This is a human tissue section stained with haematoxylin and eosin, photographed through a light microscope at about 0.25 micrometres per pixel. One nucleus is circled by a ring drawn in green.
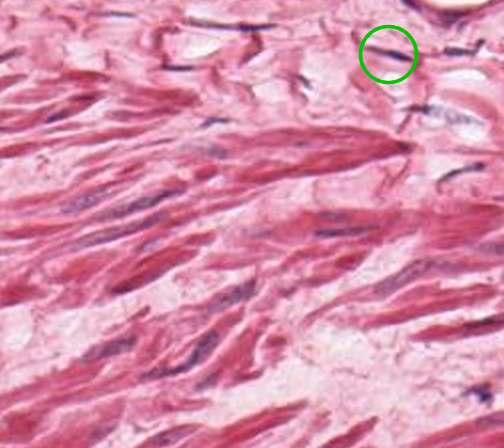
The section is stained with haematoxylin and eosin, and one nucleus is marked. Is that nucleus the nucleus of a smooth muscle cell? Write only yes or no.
no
